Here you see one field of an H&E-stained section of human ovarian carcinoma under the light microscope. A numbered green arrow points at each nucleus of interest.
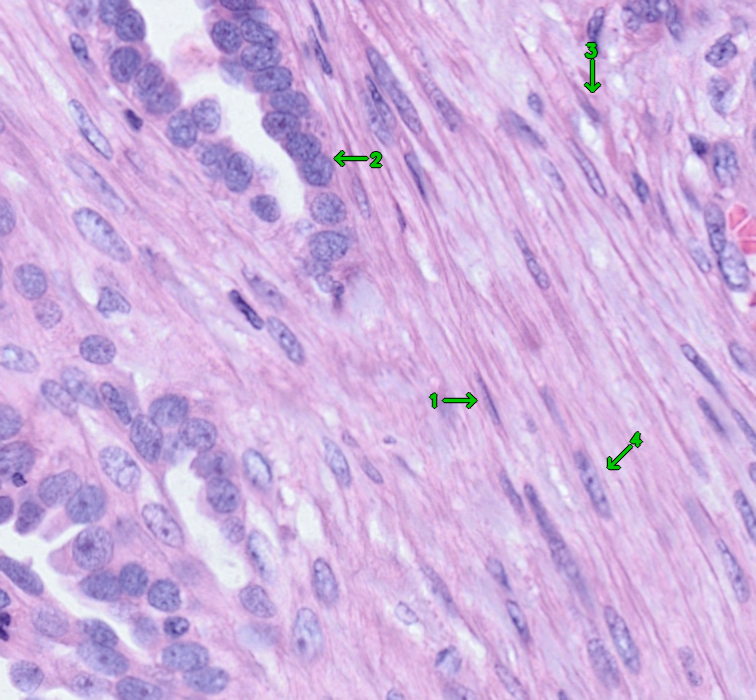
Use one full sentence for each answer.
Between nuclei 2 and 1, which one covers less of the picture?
Number 1 is smaller, since number 2 takes up about 4 times as much area.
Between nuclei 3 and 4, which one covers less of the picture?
Number 3 is smaller, since number 4 takes up about 2.5 times as much area.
